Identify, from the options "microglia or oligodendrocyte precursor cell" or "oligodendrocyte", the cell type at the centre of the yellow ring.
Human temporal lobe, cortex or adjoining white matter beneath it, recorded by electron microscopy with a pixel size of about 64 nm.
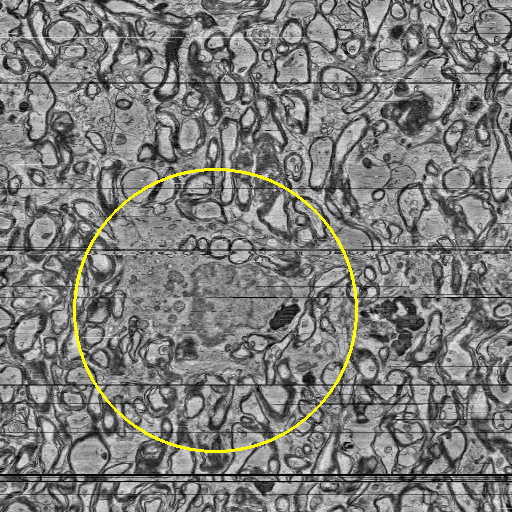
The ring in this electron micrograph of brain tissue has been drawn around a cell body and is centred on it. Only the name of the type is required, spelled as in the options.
oligodendrocyte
